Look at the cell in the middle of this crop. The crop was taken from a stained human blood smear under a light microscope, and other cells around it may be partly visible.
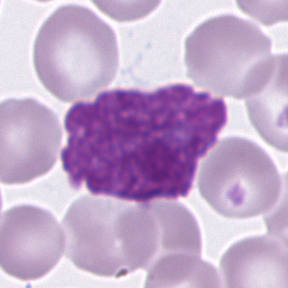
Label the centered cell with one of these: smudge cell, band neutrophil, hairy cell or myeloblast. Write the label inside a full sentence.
At the middle of the frame sits a smudge cell.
